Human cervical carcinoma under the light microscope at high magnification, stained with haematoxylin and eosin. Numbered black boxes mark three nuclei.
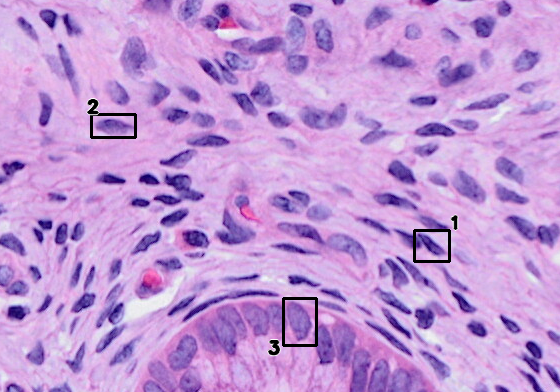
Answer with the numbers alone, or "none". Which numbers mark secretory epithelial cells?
3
